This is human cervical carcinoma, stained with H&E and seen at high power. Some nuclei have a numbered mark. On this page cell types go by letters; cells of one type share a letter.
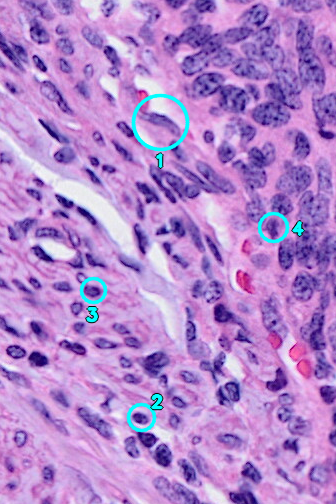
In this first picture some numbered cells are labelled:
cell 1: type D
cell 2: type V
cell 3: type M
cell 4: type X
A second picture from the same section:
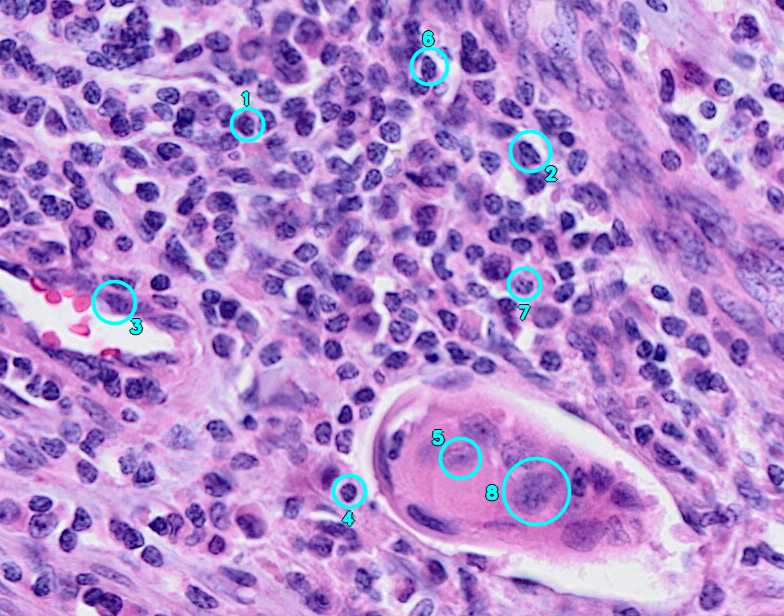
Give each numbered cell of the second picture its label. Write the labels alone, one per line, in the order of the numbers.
type V
type V
type D
type V
type X
type V
type V
type X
